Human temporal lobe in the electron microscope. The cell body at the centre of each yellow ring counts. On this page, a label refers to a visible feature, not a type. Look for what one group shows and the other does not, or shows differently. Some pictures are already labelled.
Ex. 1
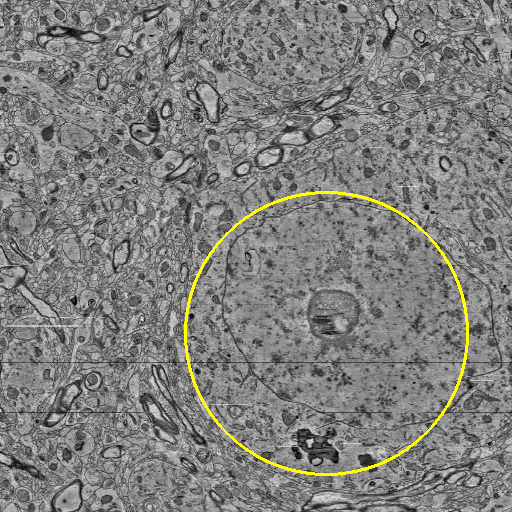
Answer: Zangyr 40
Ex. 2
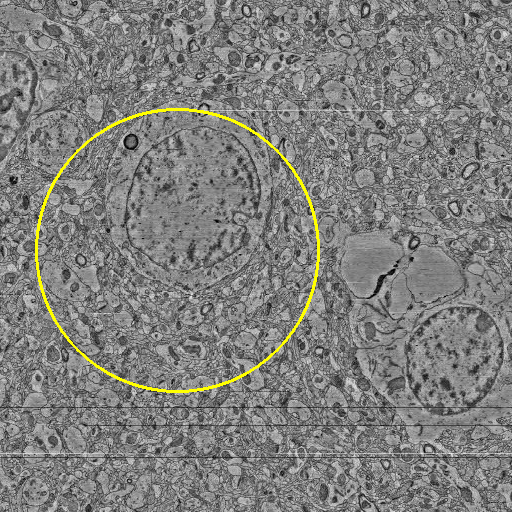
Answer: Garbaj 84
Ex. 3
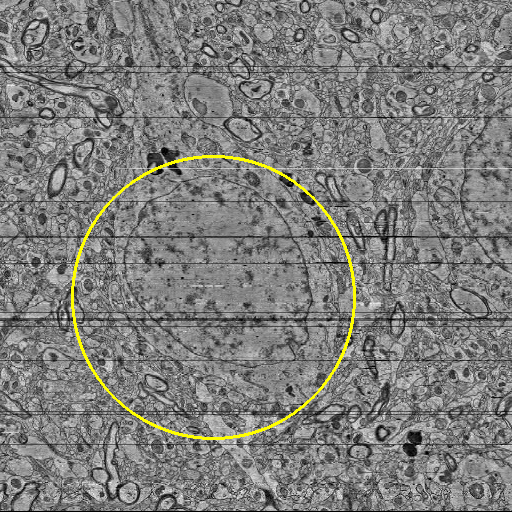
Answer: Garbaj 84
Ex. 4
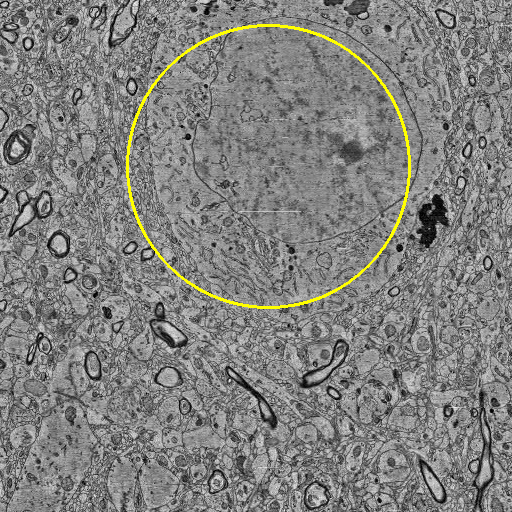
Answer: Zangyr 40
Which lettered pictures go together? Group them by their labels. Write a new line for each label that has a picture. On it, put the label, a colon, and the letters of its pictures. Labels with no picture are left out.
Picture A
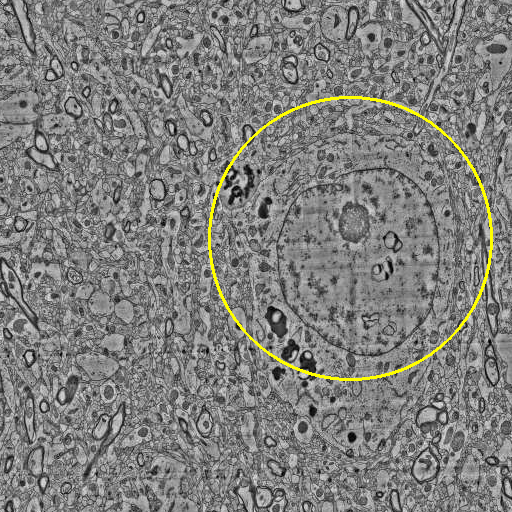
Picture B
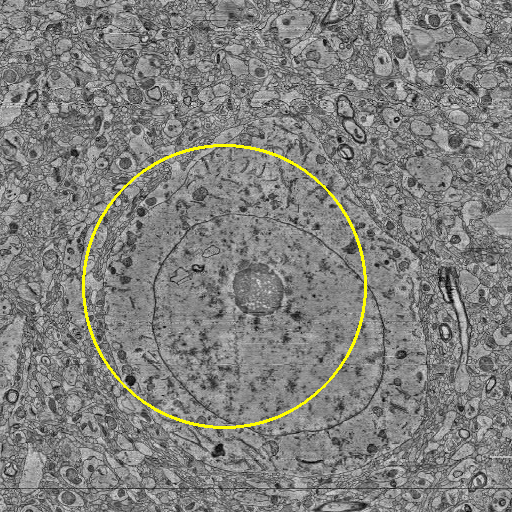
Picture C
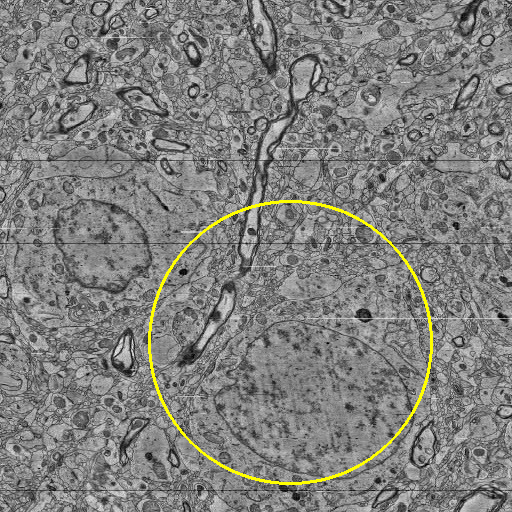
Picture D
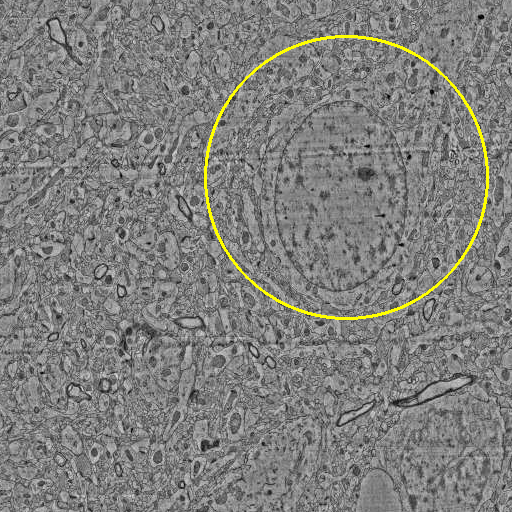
Zangyr 40: A, B, D
Garbaj 84: C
